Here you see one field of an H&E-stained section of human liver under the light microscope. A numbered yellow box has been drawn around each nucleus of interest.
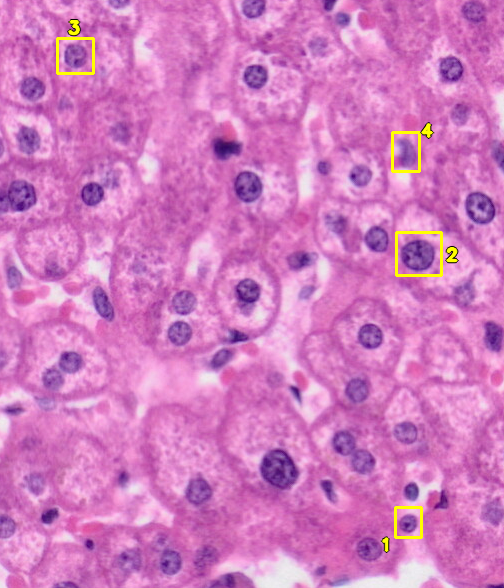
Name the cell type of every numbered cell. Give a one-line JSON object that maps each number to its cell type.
{"1": "lymphocyte", "2": "hepatocyte", "3": "hepatocyte", "4": "endothelial cell"}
